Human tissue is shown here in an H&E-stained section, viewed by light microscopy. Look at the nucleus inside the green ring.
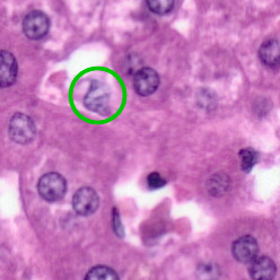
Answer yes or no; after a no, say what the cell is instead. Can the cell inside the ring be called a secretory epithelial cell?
No, it is a Kupffer cell.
